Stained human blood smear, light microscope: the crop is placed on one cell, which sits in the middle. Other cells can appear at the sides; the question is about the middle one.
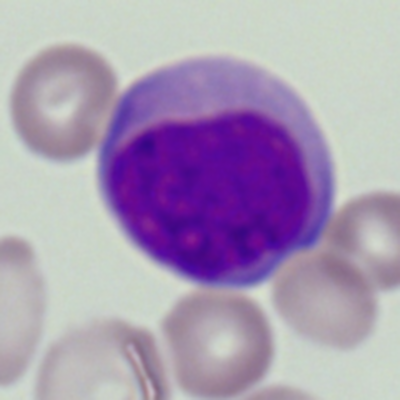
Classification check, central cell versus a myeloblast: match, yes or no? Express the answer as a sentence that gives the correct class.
Yes, a myeloblast is present in the middle of the crop.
